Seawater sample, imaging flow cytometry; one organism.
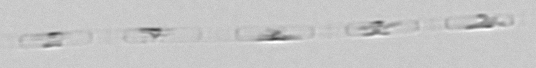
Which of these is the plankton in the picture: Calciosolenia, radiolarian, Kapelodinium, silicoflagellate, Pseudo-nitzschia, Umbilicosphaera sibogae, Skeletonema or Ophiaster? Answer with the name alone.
Skeletonema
